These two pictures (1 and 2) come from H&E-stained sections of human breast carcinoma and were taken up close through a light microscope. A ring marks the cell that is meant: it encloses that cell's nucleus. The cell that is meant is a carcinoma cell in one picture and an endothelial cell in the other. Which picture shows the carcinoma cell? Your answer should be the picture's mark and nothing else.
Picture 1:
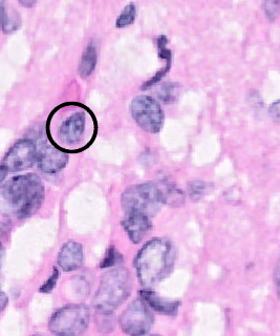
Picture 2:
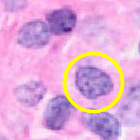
2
